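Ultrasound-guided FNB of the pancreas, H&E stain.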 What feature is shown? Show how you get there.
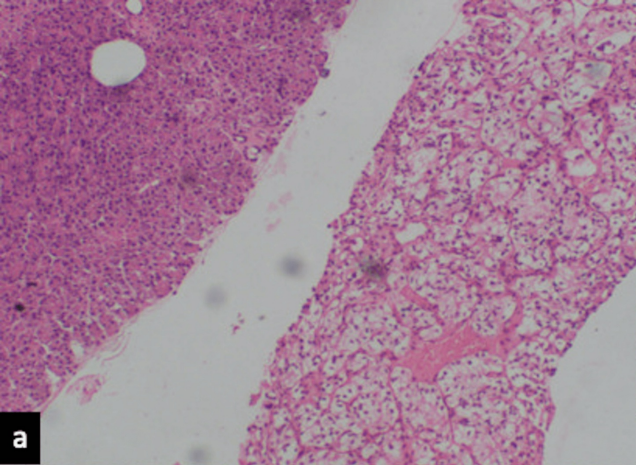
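Thin fibrovascular septae. Nests of pale clear cells in the right fragment are separated by thin pink strands. The strands are delicate and branch around the nests.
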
